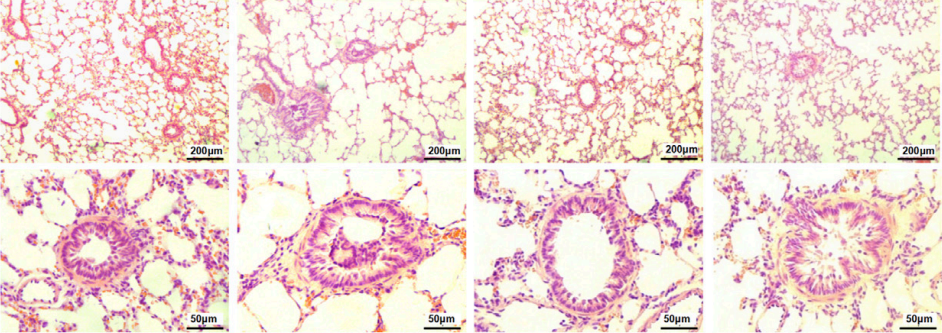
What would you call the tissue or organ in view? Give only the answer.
Lung tissue.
